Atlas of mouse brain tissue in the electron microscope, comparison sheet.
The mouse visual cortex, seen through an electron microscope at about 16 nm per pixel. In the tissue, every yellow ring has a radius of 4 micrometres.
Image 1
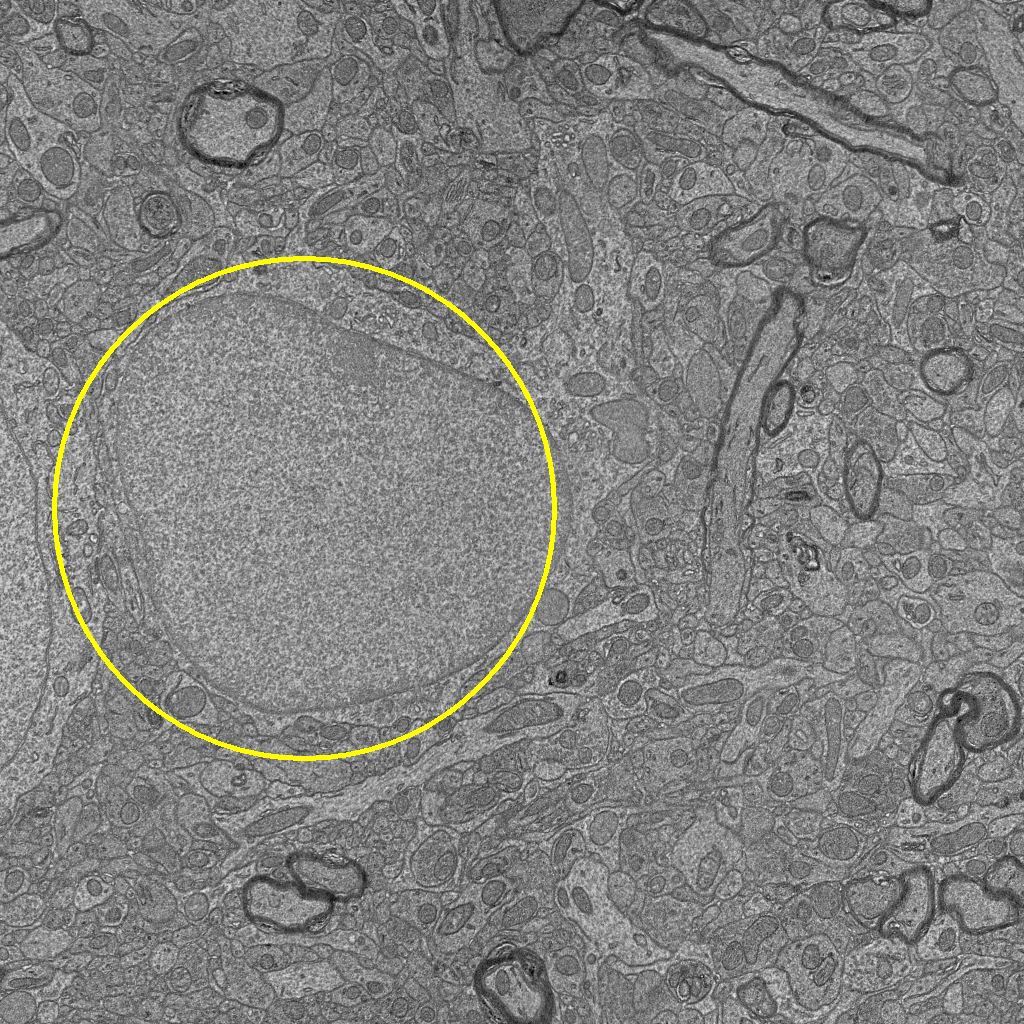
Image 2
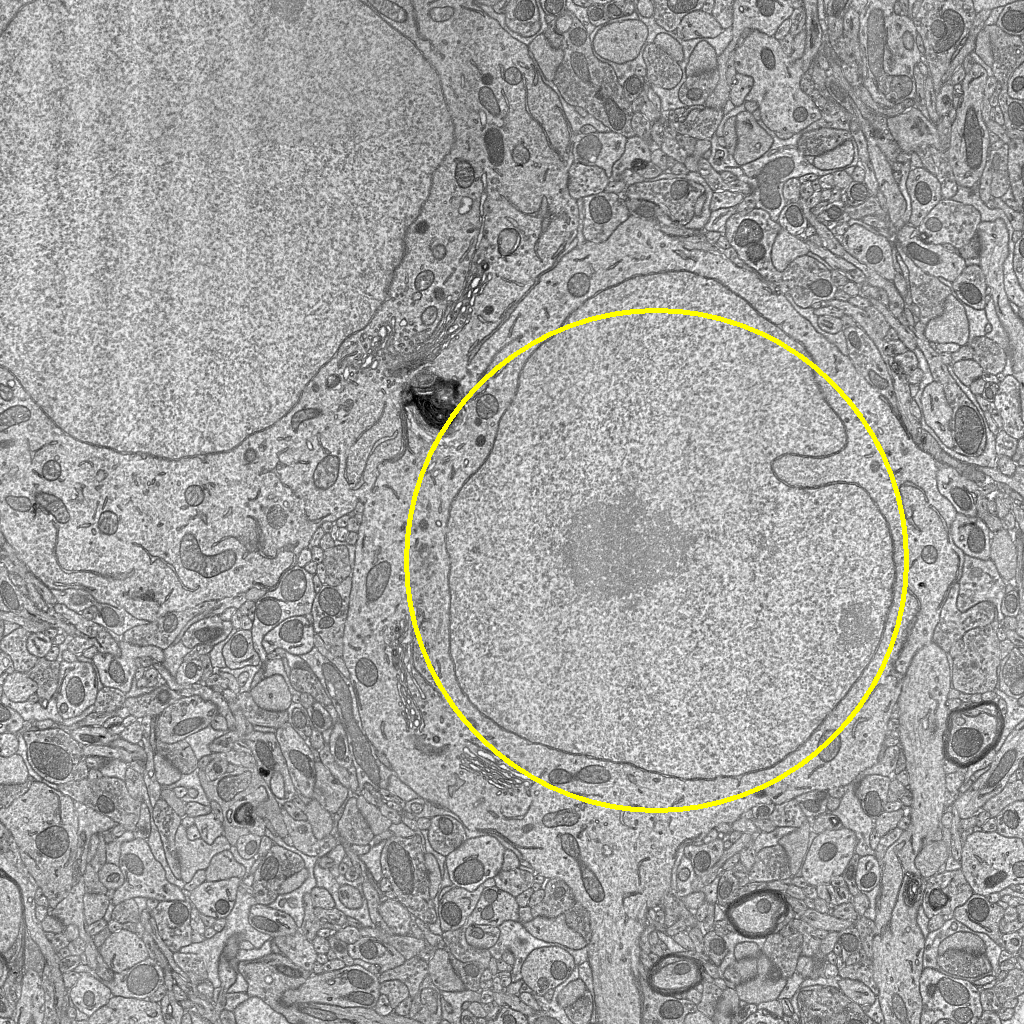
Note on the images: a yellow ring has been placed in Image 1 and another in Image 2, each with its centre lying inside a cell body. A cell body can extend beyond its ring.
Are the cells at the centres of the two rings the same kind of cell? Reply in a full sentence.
No, the two cells are of two kinds.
